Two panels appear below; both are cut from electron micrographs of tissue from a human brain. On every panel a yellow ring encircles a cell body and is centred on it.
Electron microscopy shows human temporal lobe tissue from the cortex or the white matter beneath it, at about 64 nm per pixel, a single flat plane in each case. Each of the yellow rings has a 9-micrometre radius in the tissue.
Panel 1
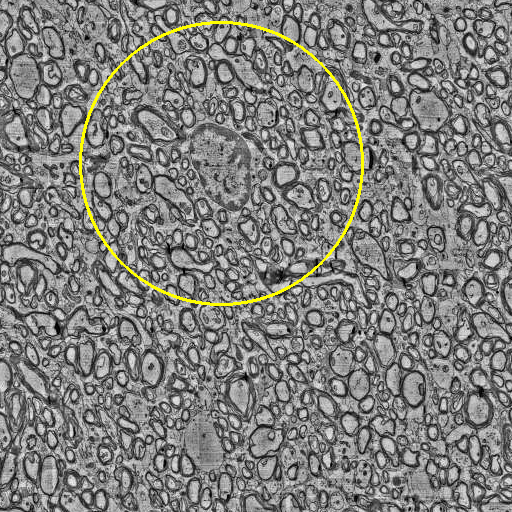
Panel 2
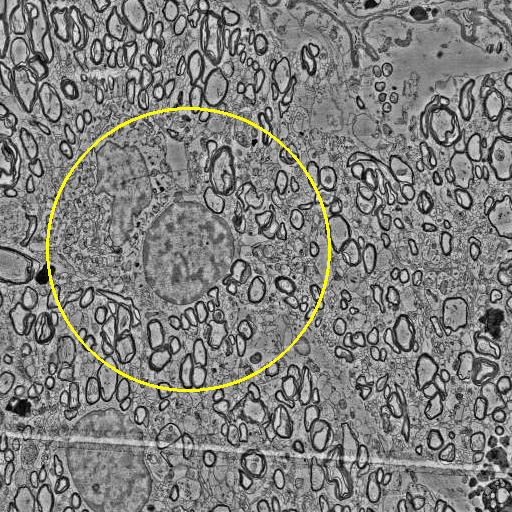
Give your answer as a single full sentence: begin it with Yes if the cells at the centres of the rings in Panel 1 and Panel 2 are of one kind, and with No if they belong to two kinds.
No, the cells in the middle of the rings in Panels 1 and 2 are of two kinds.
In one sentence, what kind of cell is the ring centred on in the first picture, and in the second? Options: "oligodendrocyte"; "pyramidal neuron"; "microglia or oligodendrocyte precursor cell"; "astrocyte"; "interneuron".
The cell at the centre of the second ring is an oligodendrocyte; the first ring's cell is a microglial cell or oligodendrocyte precursor cell.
